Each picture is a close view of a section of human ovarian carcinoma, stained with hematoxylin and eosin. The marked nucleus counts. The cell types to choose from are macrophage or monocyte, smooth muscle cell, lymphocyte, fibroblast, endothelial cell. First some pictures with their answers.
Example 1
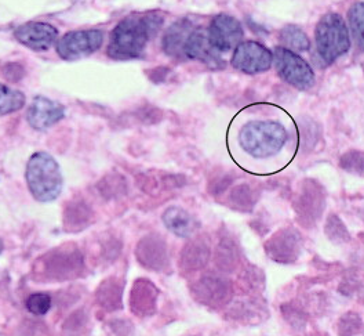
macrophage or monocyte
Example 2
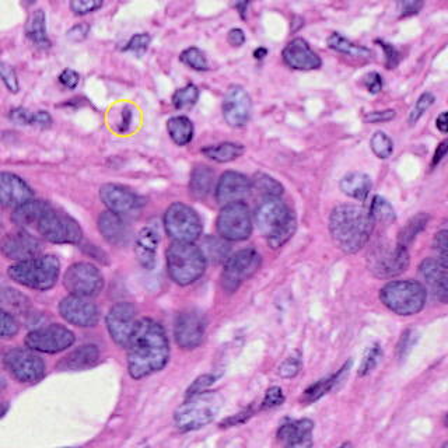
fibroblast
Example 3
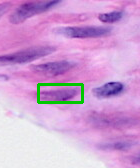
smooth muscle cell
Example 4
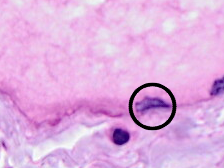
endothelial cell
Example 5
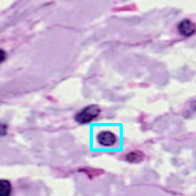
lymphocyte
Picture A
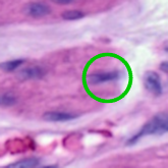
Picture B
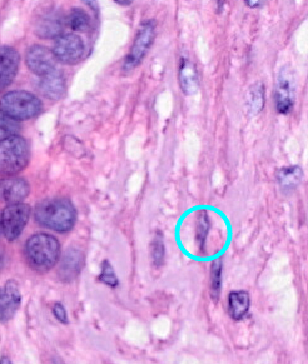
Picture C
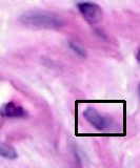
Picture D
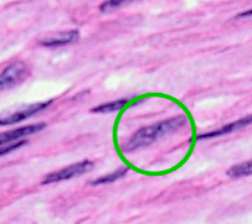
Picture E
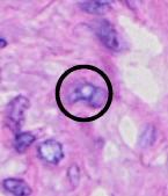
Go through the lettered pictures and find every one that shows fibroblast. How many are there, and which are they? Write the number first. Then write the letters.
Count: 3 (B, D, E)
